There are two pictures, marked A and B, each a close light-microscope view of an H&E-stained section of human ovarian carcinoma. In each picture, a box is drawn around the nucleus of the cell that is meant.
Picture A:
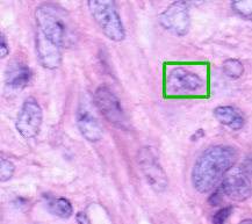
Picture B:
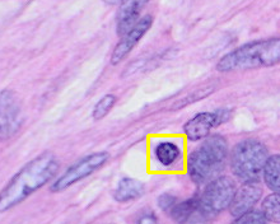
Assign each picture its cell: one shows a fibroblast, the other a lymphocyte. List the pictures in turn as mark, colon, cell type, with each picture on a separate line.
A: fibroblast
B: lymphocyte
